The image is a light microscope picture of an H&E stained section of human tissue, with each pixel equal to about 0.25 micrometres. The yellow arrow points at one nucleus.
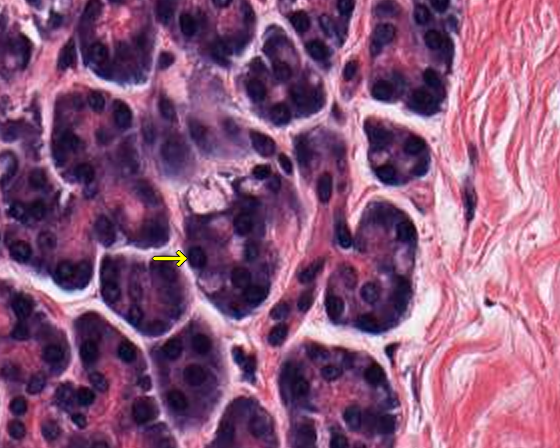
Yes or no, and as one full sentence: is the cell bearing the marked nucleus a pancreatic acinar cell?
Yes, the marked nucleus belongs to a pancreatic acinar cell in this image.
